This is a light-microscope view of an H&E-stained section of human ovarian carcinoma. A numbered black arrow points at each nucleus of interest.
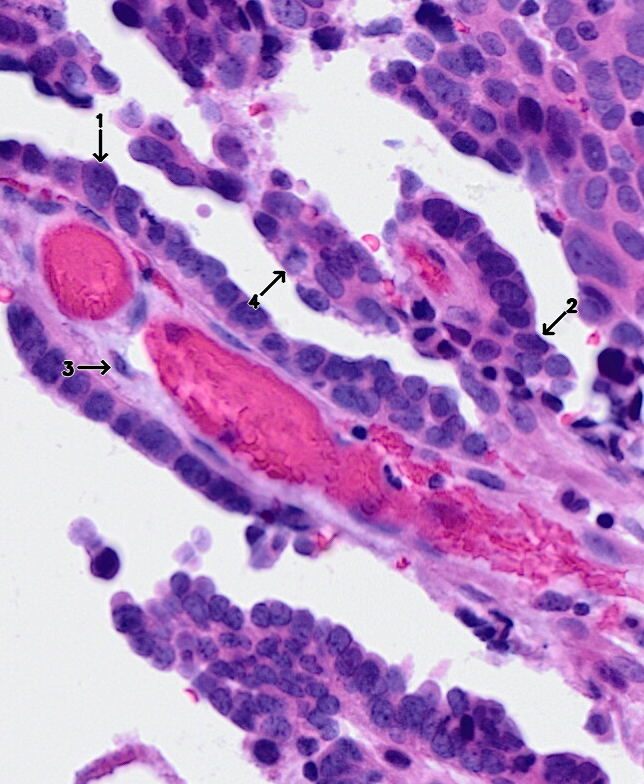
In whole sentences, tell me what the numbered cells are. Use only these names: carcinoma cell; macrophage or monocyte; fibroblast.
Cell 1 is a carcinoma cell, cell 2 is a carcinoma cell, cell 3 is a fibroblast and cell 4 is a macrophage or monocyte.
